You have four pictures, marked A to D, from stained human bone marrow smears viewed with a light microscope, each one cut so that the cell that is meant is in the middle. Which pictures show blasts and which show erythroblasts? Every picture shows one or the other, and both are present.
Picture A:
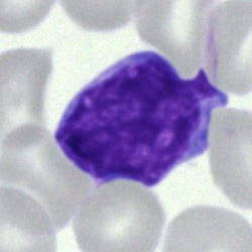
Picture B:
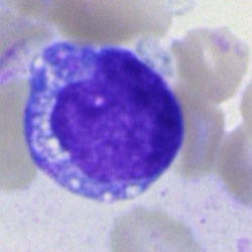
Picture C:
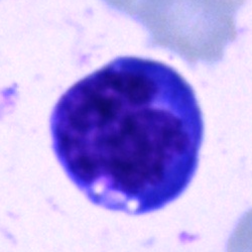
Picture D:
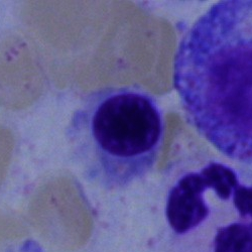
A: blast
B: blast
C: blast
D: erythroblast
